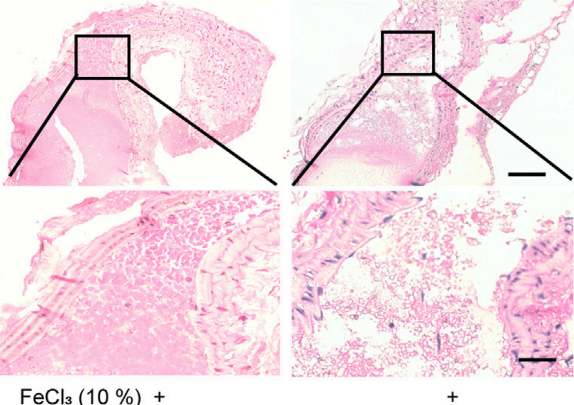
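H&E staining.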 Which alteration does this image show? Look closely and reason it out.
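Arterial thrombosis. A vessel wall with wavy pink layers surrounds the lumen.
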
